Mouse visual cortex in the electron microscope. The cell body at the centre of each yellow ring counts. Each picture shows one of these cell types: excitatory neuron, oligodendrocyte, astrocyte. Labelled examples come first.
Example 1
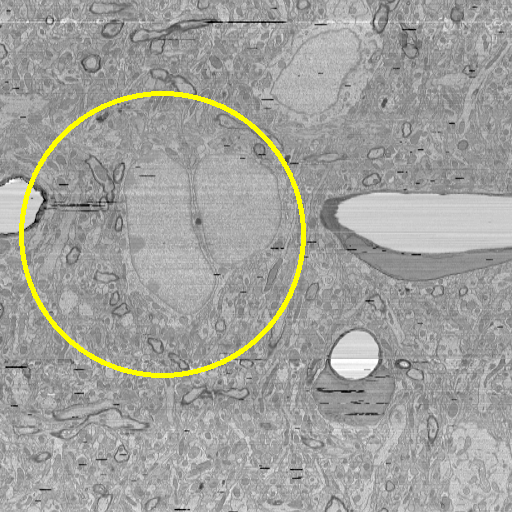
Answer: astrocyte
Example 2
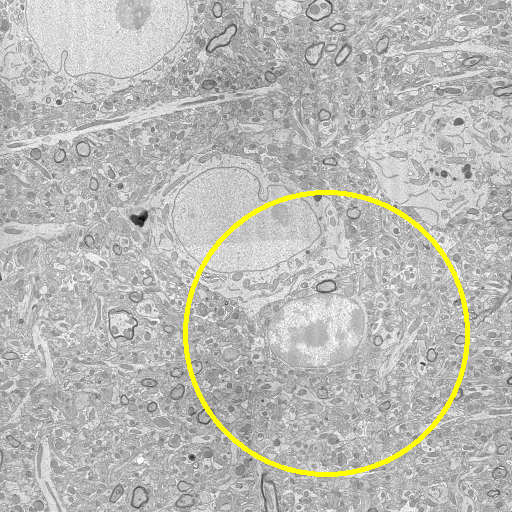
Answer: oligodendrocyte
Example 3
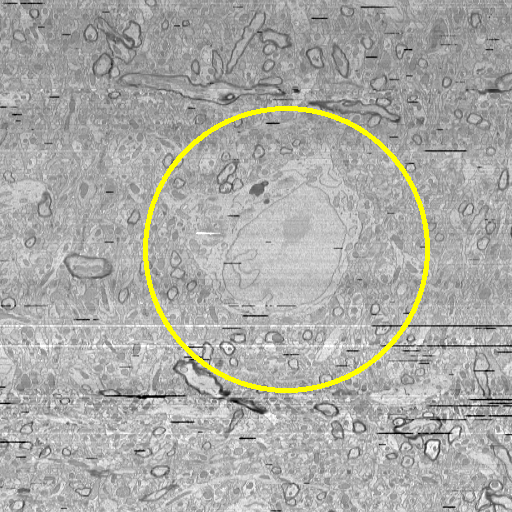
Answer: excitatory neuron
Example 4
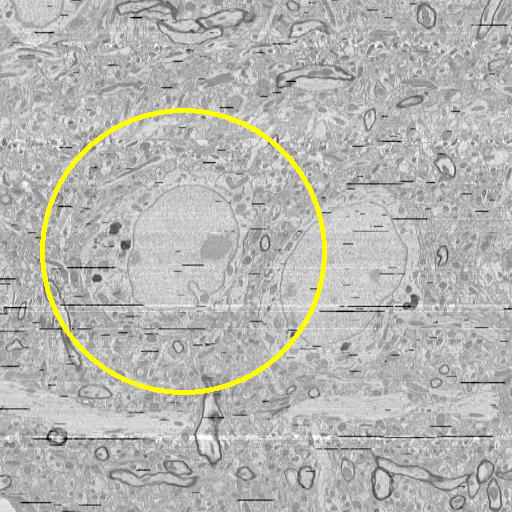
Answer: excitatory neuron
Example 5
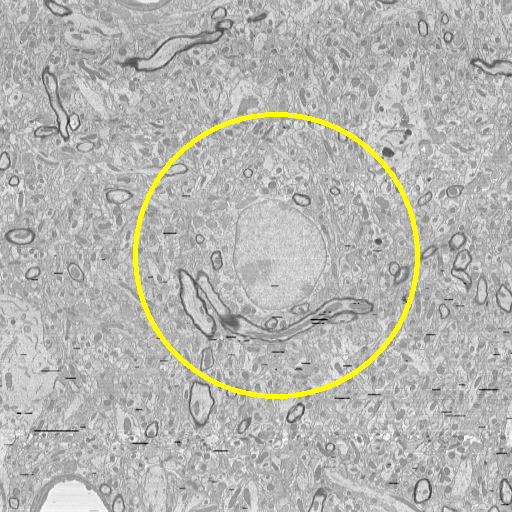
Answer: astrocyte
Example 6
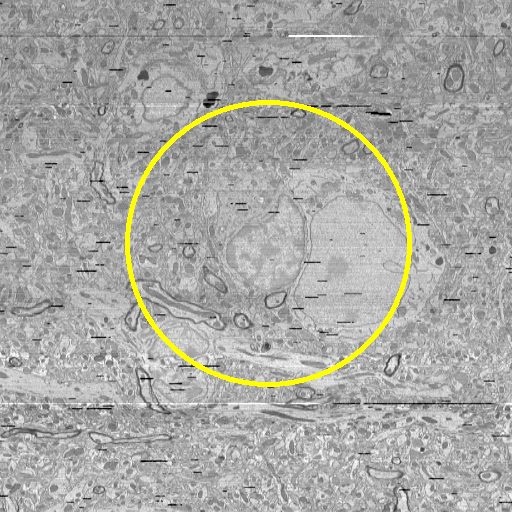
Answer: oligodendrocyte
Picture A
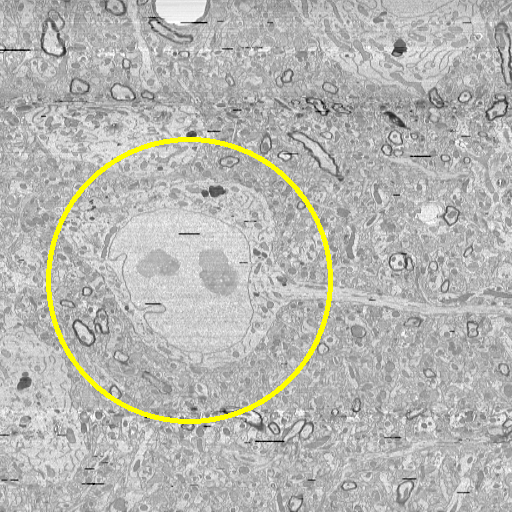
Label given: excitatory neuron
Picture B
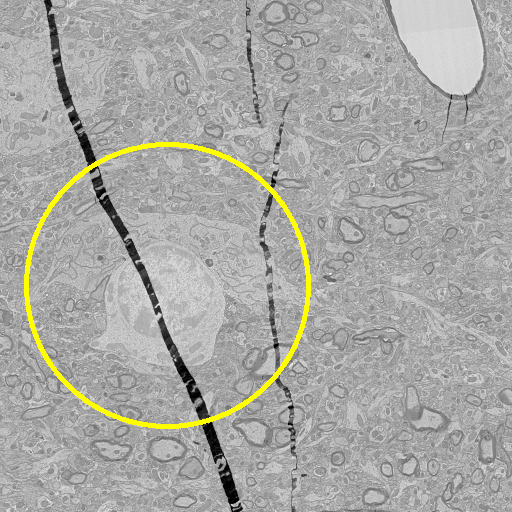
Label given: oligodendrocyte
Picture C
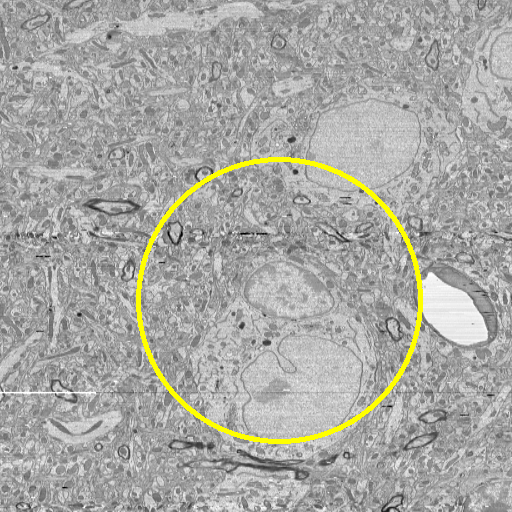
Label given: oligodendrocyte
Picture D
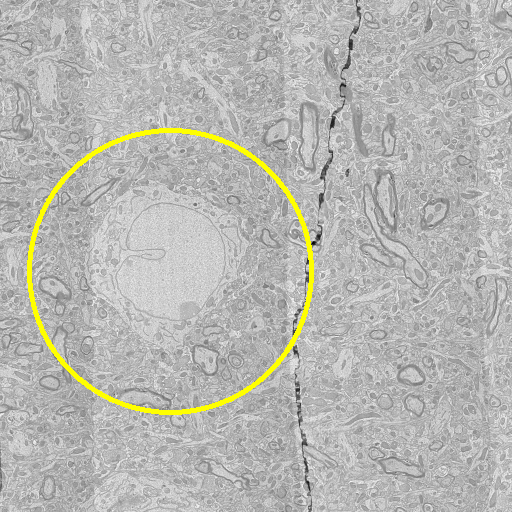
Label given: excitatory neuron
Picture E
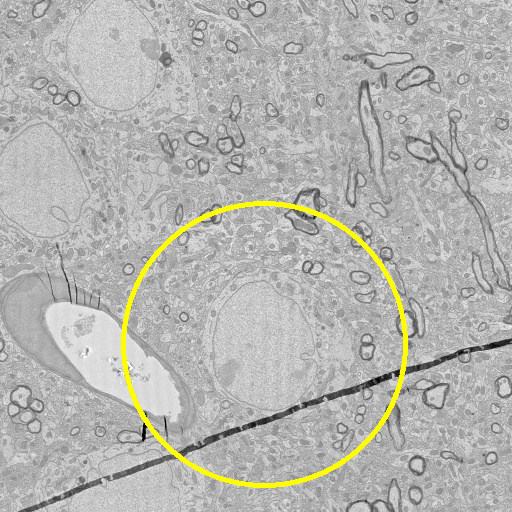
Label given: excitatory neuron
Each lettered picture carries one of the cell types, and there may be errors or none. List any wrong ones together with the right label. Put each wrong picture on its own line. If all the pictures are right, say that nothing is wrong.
None of the labels needs changing.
